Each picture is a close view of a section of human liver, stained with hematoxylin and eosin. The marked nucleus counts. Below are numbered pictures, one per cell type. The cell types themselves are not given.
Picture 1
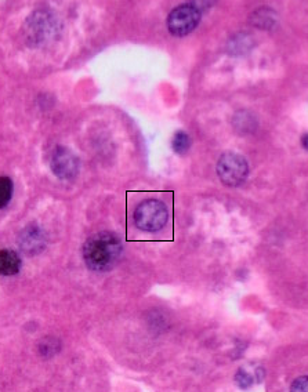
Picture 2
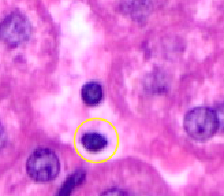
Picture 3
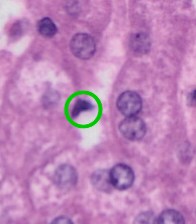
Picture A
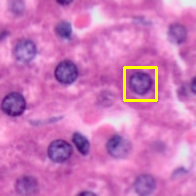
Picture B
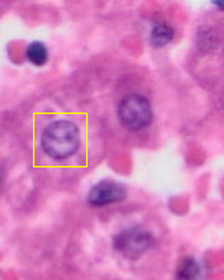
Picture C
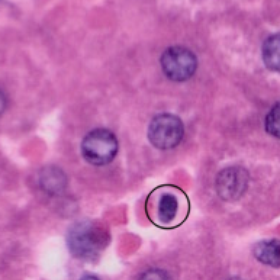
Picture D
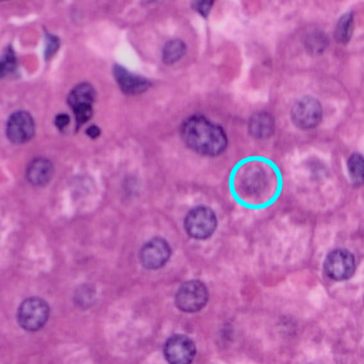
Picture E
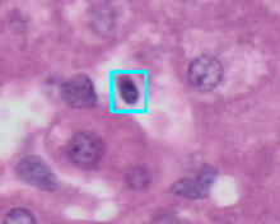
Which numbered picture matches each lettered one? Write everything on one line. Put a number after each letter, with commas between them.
A 1, B 1, C 2, D 1, E 2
